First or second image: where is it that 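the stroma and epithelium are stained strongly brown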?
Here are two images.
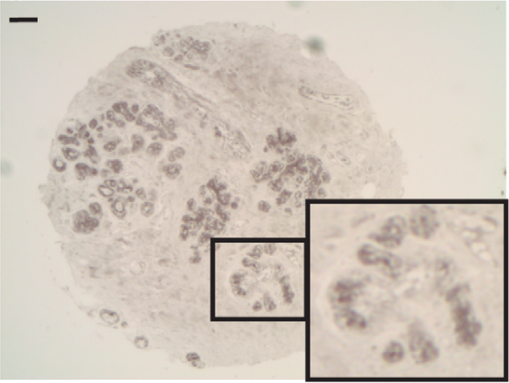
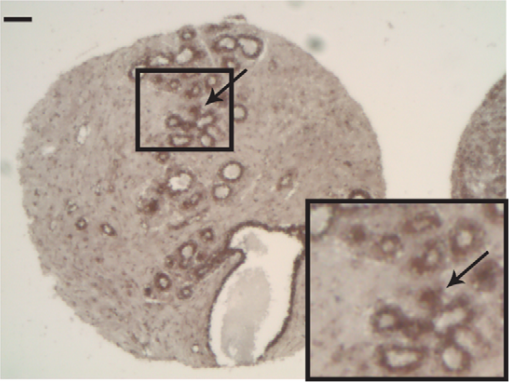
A: the second image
